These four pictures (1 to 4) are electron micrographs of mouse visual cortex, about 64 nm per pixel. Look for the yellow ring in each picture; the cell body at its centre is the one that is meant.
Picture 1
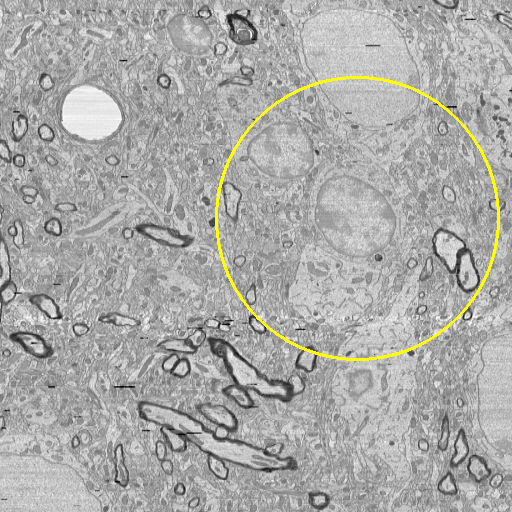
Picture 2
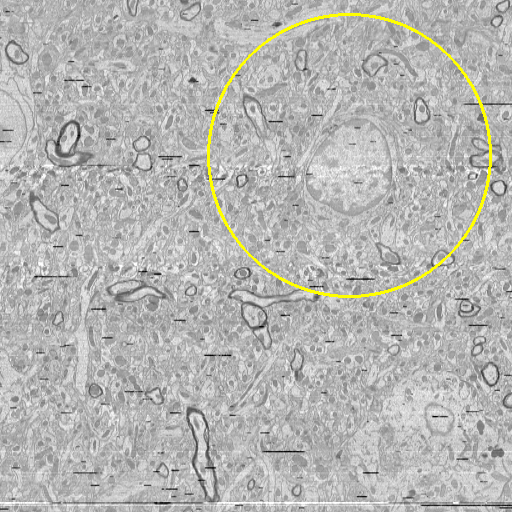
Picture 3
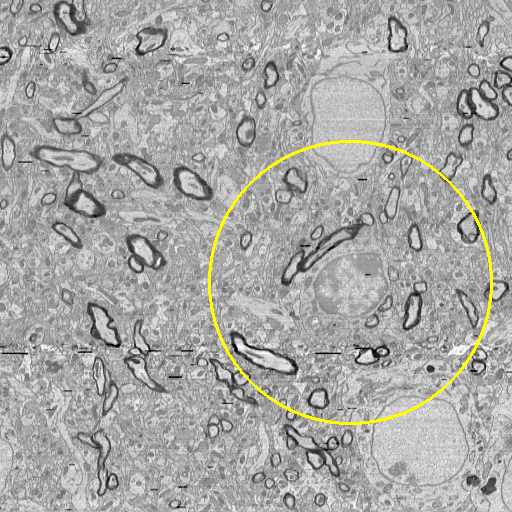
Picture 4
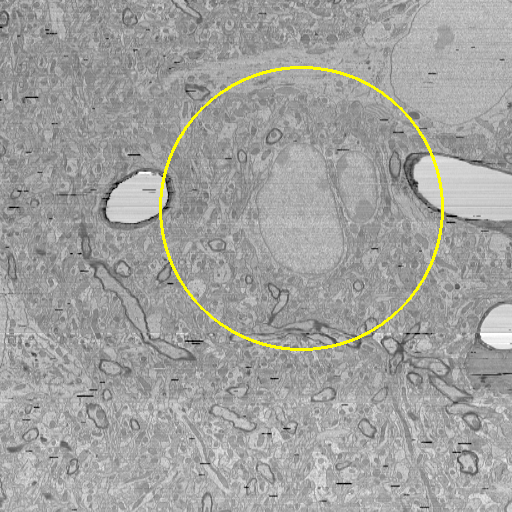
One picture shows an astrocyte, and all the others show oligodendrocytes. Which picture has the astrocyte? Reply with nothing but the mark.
4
